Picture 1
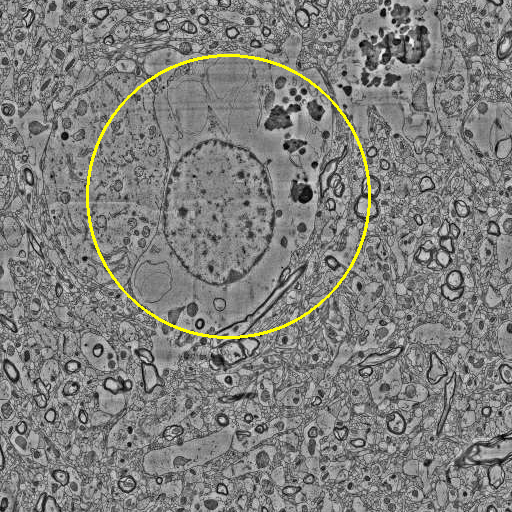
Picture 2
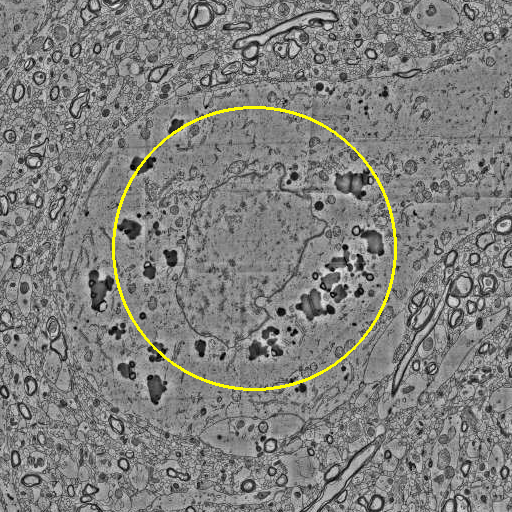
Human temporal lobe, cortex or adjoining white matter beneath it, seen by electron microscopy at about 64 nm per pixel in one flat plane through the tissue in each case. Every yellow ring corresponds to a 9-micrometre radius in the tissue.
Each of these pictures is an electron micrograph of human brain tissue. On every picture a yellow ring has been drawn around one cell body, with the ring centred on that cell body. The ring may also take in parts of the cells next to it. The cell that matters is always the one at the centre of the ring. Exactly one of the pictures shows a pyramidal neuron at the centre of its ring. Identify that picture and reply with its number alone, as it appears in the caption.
2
